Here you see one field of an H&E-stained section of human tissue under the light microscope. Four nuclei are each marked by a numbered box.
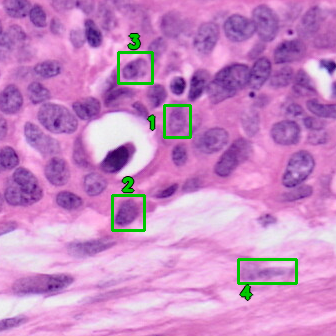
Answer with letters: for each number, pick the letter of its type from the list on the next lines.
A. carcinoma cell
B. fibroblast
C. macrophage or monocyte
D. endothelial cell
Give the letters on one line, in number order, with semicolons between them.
A; C; C; B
